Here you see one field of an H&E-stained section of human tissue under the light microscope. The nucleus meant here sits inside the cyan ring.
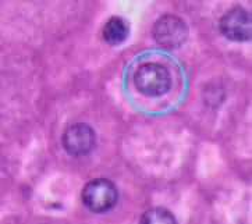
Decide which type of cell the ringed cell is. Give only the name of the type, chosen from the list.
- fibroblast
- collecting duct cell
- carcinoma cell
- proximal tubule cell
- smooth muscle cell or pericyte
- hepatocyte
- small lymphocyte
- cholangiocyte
hepatocyte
